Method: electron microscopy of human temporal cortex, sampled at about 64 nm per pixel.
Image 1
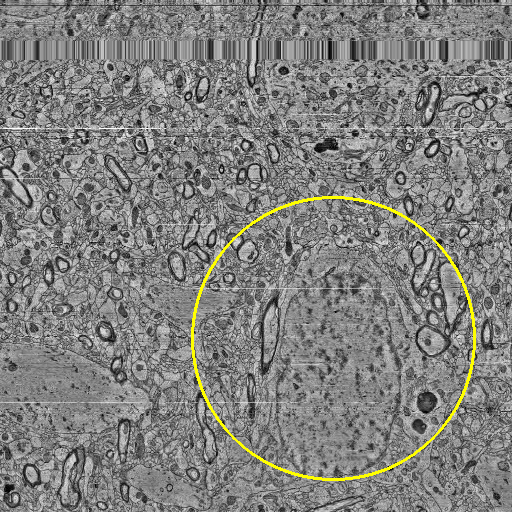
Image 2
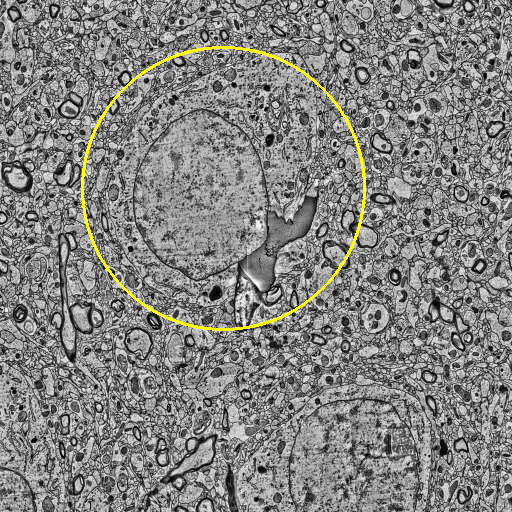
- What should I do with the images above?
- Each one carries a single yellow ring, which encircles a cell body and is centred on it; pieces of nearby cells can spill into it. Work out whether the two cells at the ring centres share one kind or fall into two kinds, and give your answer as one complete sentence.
The ring-centre cells of Image 1 and Image 2 fall into two kinds.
